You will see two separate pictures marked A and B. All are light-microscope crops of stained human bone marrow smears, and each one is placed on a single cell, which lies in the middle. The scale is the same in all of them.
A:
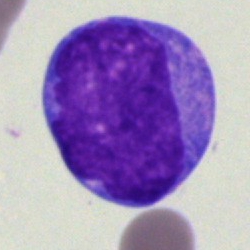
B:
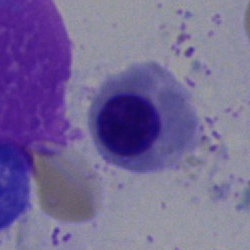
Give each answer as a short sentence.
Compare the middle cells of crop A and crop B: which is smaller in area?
The cell in crop B is smaller; the one in crop A has about 3 times its area.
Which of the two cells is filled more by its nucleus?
It is the cell in crop A that is filled more by its nucleus.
